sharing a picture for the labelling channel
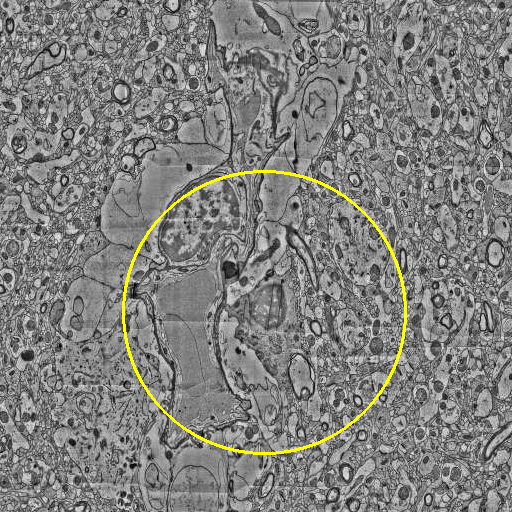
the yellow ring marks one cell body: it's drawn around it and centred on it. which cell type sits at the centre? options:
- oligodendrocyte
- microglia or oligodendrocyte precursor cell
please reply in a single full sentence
In the picture, the cell at the ring's centre is an oligodendrocyte, going by the list.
